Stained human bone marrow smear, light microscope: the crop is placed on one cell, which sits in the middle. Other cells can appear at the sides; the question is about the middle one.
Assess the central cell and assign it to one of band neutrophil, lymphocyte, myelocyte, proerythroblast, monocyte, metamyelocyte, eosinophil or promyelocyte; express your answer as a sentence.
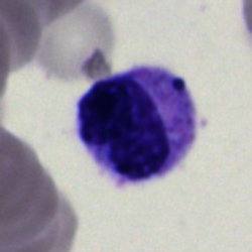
In short, the cell at the center is a metamyelocyte.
